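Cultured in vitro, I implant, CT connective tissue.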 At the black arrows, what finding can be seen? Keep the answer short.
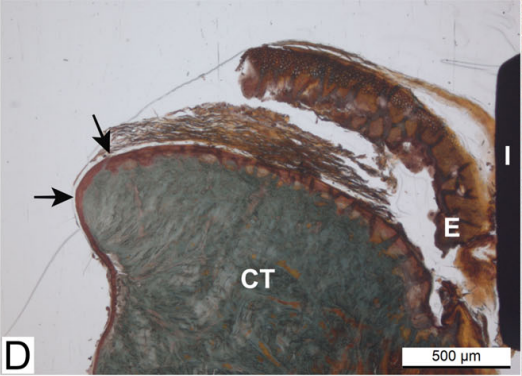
Epithelial migration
